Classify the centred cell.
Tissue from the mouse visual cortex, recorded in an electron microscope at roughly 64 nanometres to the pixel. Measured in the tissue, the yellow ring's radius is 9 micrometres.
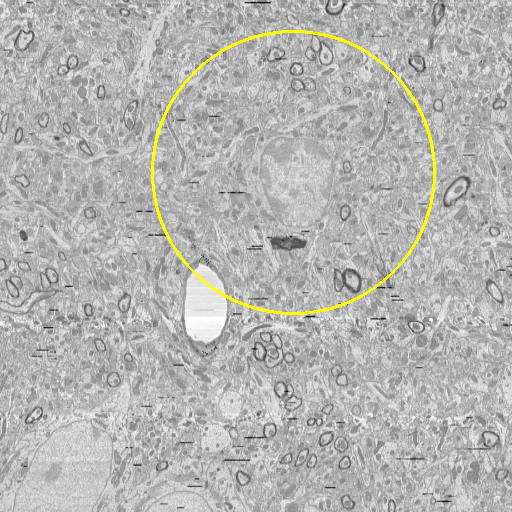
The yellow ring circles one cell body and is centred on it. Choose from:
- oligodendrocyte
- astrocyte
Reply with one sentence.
The ring is centred on an oligodendrocyte.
